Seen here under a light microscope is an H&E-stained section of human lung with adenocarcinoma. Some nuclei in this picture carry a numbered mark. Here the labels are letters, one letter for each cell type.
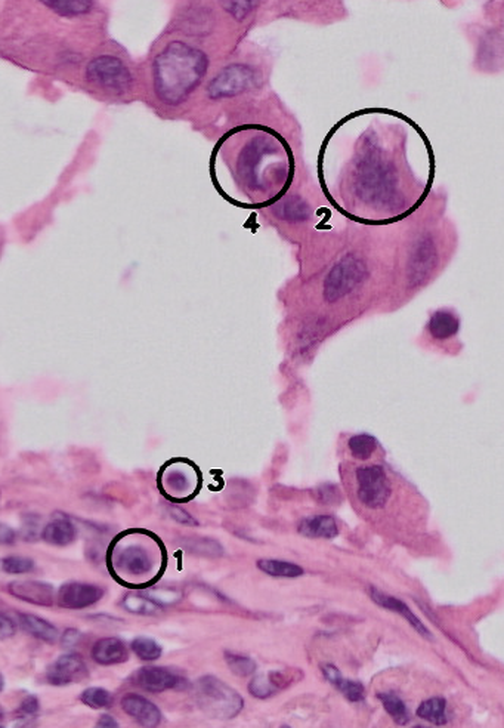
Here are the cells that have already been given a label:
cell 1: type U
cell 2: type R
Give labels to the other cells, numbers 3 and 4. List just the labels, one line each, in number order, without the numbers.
type U
type R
